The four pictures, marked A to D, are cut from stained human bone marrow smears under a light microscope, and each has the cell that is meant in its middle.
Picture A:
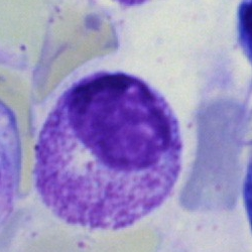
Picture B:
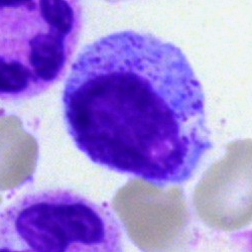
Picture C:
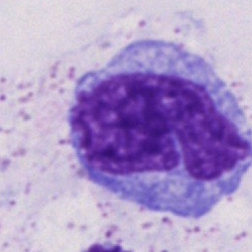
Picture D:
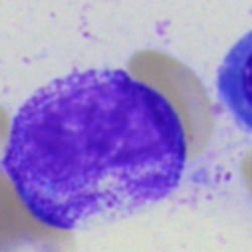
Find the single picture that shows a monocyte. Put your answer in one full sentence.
It is picture C that shows the monocyte.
